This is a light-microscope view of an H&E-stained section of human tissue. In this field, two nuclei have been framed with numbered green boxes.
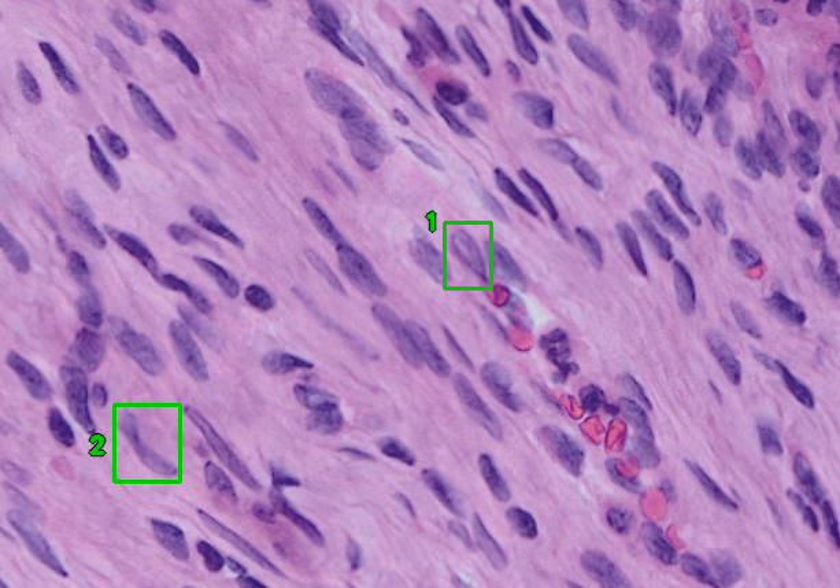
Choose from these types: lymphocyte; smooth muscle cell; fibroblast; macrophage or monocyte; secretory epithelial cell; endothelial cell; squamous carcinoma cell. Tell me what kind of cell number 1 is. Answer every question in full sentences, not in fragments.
The mark numbered 1 indicates the nucleus of an endothelial cell.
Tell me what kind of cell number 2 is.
The cell numbered 2 has been identified as a fibroblast.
